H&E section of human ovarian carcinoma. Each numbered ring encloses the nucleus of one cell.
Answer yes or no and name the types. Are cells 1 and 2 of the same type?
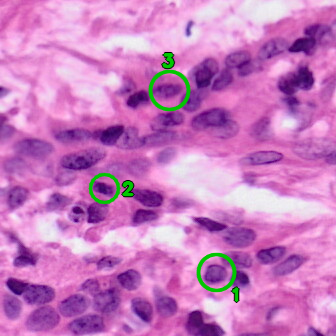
No, cell 2 is an endothelial cell, but cell 1 is a macrophage or monocyte.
